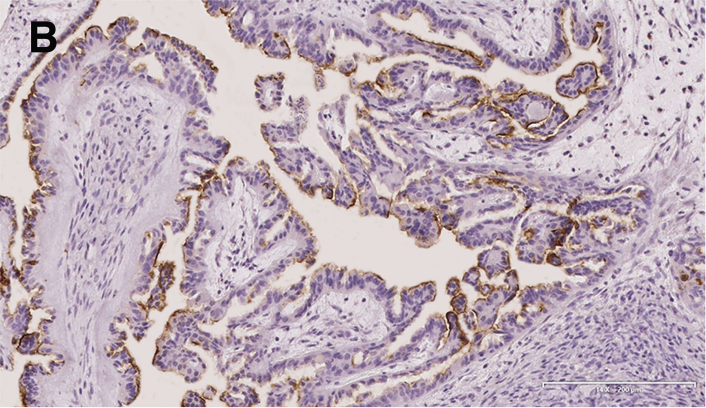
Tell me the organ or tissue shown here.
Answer: Borderline type serous tumor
